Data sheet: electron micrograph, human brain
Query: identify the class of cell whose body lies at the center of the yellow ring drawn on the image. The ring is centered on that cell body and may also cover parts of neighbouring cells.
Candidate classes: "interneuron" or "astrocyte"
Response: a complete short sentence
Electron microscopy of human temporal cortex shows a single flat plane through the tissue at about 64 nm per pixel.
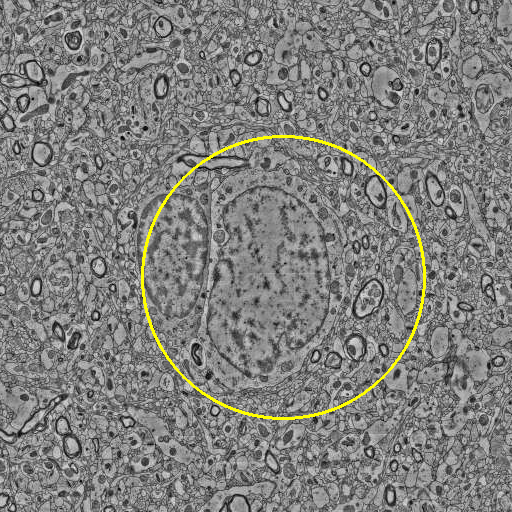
At the center of the ring lies an interneuron.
